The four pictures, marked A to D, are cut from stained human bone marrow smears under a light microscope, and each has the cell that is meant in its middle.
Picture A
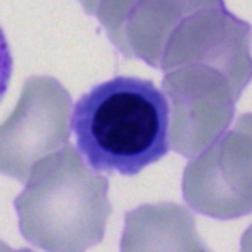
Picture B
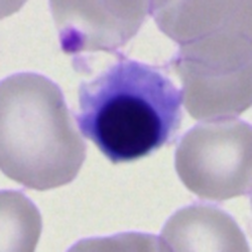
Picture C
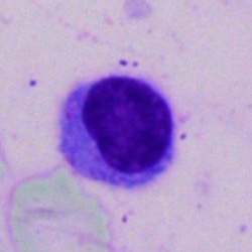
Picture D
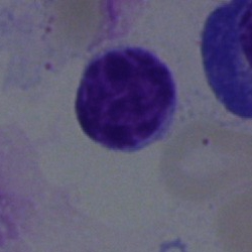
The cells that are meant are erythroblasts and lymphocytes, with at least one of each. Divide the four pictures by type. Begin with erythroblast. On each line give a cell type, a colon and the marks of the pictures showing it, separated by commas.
erythroblast: A, B
lymphocyte: C, D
